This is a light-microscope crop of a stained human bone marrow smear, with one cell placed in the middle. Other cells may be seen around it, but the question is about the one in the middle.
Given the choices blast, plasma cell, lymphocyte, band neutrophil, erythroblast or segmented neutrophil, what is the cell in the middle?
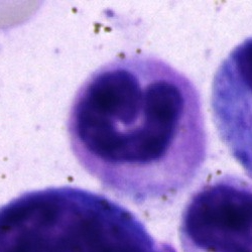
segmented neutrophil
